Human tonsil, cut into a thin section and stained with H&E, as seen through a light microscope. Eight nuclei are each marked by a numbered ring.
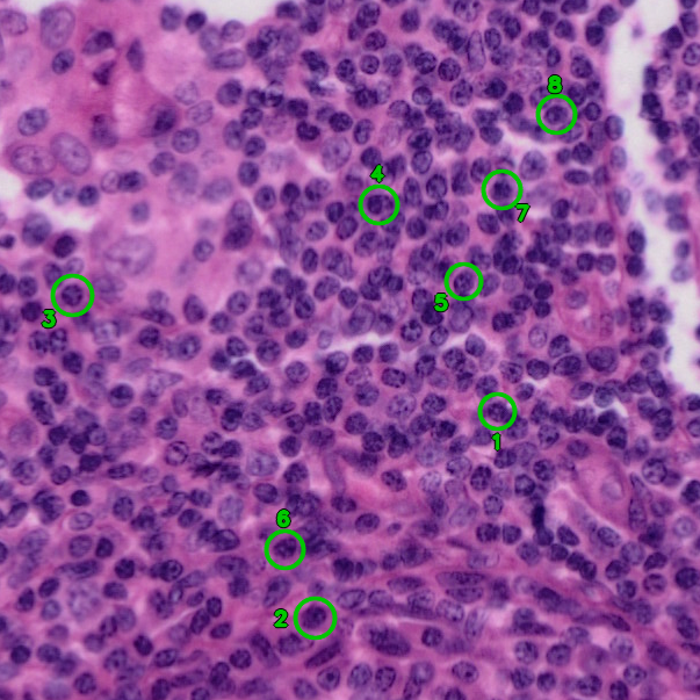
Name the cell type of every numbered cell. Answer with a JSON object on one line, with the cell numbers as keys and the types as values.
{"1": "small lymphocyte", "2": "plasma cell", "3": "plasma cell", "4": "small lymphocyte", "5": "small lymphocyte", "6": "plasma cell", "7": "small lymphocyte", "8": "small lymphocyte"}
